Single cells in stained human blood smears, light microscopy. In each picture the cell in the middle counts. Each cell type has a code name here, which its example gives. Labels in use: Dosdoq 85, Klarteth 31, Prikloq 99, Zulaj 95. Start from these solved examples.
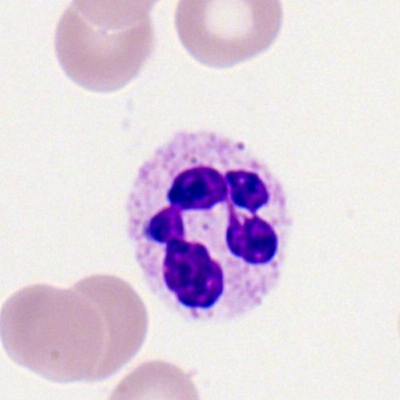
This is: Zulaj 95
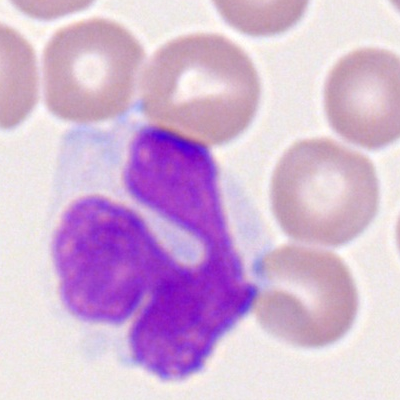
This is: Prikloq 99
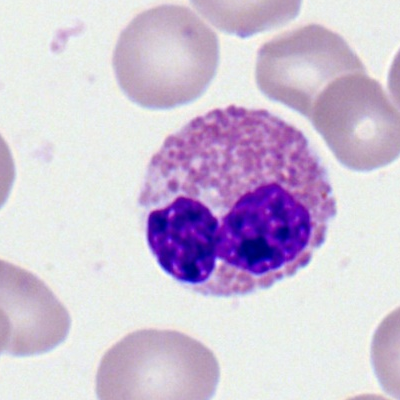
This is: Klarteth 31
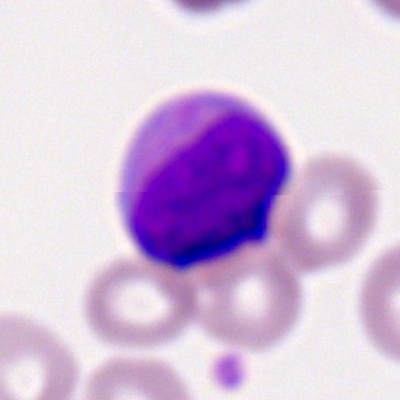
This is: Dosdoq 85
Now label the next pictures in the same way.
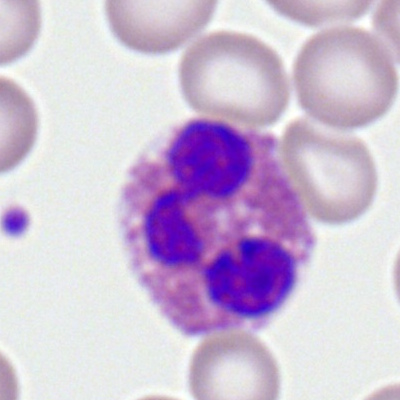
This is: Klarteth 31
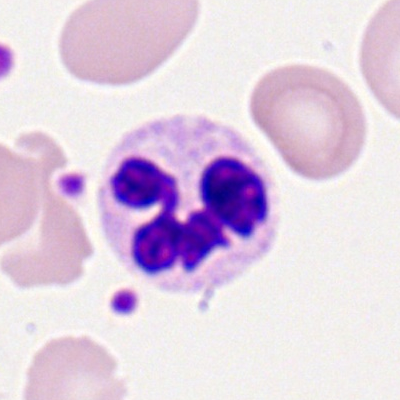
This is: Zulaj 95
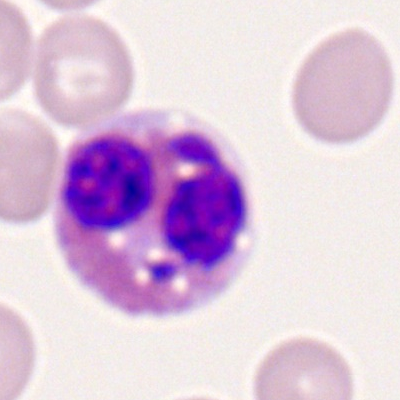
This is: Klarteth 31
